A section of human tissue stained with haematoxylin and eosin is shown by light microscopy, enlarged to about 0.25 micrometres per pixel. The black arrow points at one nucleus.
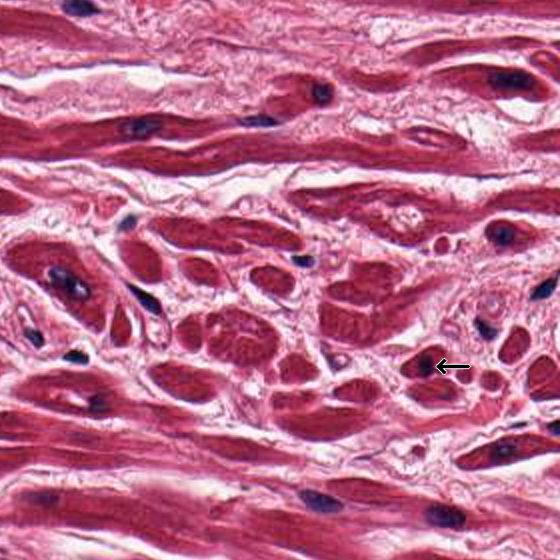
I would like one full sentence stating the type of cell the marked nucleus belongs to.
The nucleus that has been marked belongs to a cardiomyocyte.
